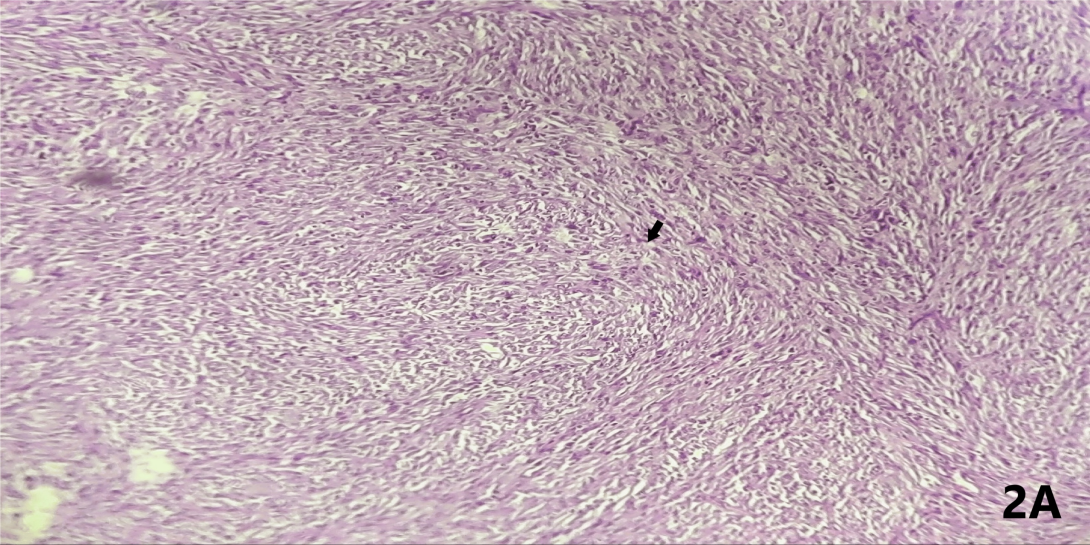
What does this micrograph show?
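At low power this is a sheet of densely packed spindle cells forming a tumour with no normal tissue structure. The elongated cells with elongated purple nuclei are grouped into long bundles, or fascicles. The fascicles sweep in different directions and cross one another, giving a woven, streaming pattern. A few small pale spaces are scattered through the tissue. The picture is that of a neoplasm made of fascicles of spindle cells arranged in intersecting bundles.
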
